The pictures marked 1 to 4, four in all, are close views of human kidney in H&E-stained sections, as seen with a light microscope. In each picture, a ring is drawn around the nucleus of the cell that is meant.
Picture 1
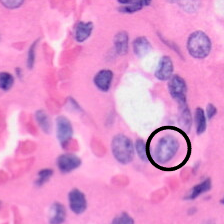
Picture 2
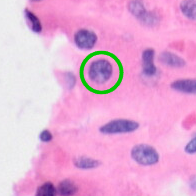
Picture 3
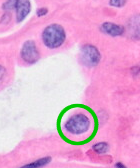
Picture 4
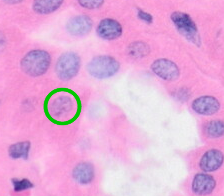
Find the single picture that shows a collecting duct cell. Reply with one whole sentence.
The picture with the collecting duct cell is 1.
